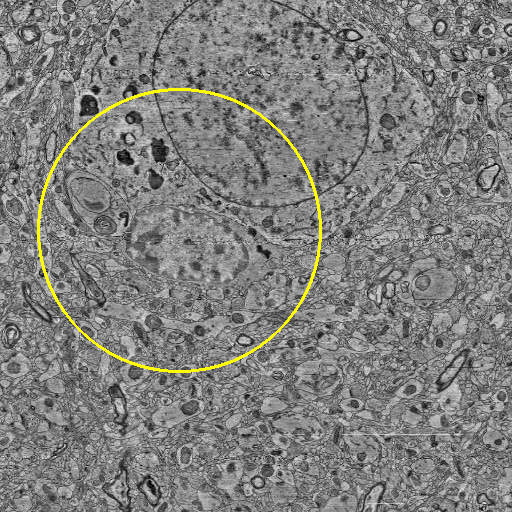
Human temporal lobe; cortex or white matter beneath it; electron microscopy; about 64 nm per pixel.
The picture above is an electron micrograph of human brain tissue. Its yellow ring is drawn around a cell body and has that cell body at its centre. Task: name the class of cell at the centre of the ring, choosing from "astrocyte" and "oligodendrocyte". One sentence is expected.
The ring surrounds the body of an oligodendrocyte.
